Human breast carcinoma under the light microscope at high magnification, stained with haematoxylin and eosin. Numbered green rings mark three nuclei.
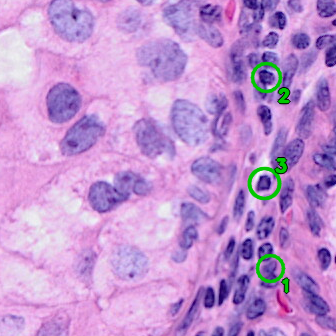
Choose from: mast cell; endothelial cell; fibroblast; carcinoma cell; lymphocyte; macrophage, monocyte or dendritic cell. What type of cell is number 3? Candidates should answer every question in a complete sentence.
To a lymphocyte belongs the nucleus marked 3.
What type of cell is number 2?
The nucleus with number 2 is that of a lymphocyte.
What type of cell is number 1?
The one numbered 1 among the marked cells is an endothelial cell.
